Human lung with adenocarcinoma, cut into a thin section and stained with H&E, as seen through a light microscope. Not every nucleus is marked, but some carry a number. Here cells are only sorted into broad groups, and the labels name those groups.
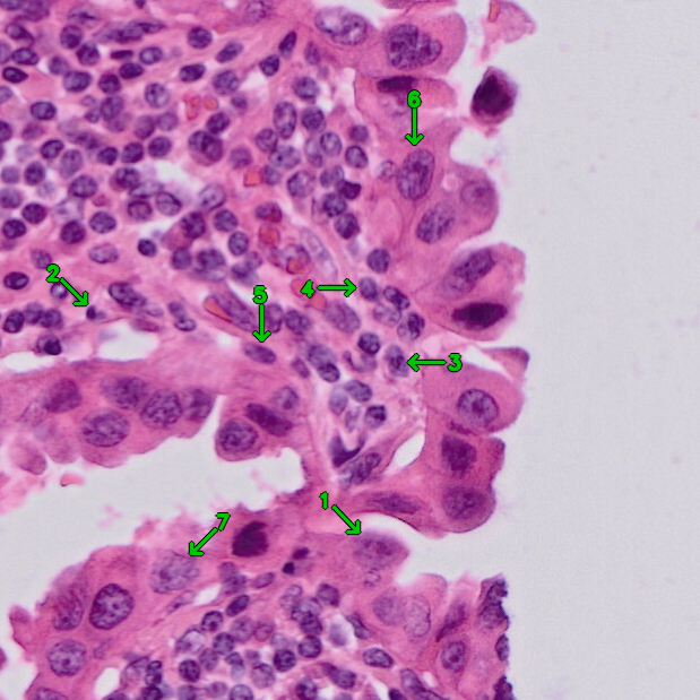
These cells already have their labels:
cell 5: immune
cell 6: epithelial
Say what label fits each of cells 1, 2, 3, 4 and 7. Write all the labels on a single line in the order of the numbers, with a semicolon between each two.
epithelial; immune; immune; immune; epithelial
